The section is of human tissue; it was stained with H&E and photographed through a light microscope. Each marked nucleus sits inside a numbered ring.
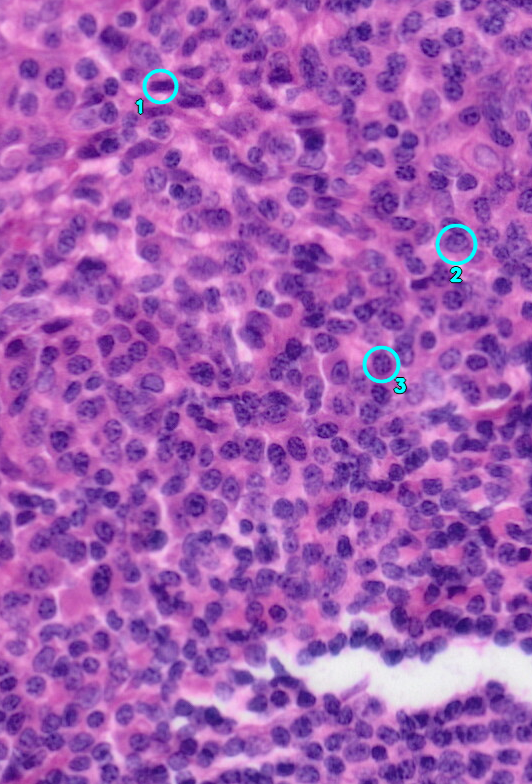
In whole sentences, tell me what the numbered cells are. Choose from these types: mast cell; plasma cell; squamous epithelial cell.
Cell 1 is a squamous epithelial cell, cell 2 is a plasma cell and cell 3 is a plasma cell.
